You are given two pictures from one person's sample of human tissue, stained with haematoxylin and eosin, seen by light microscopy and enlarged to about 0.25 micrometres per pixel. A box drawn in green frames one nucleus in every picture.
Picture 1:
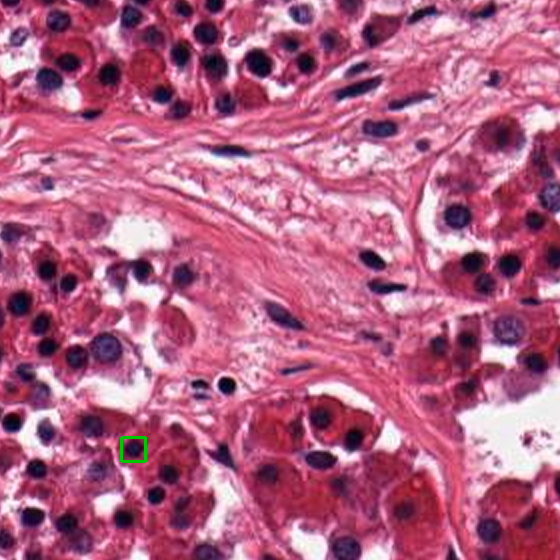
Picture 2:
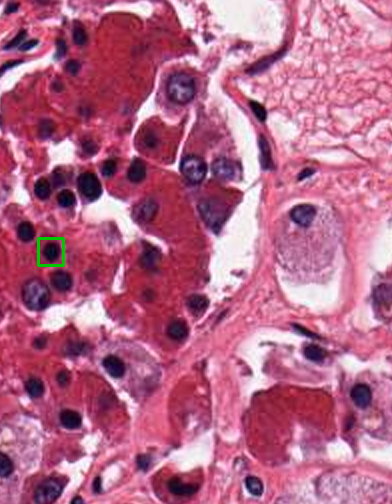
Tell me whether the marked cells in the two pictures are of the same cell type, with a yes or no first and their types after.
Yes, both are anterior pituitary cells.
